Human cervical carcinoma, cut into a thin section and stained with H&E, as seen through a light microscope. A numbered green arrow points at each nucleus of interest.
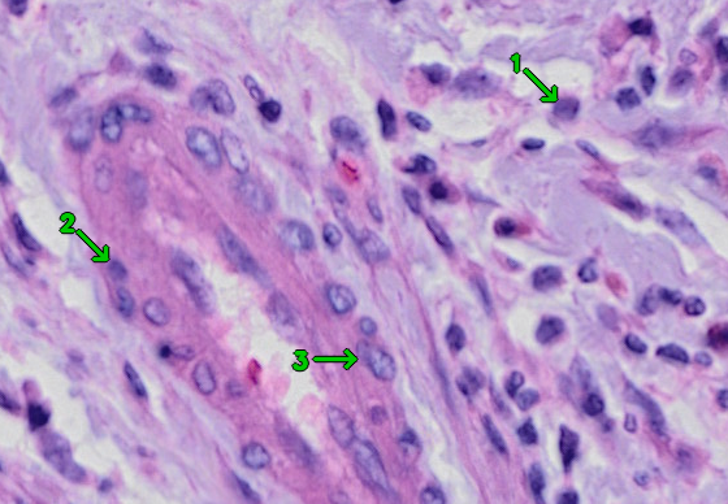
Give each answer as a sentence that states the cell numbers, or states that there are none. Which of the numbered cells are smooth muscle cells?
Identified as smooth muscle cells are the cells numbered 2 and 3.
